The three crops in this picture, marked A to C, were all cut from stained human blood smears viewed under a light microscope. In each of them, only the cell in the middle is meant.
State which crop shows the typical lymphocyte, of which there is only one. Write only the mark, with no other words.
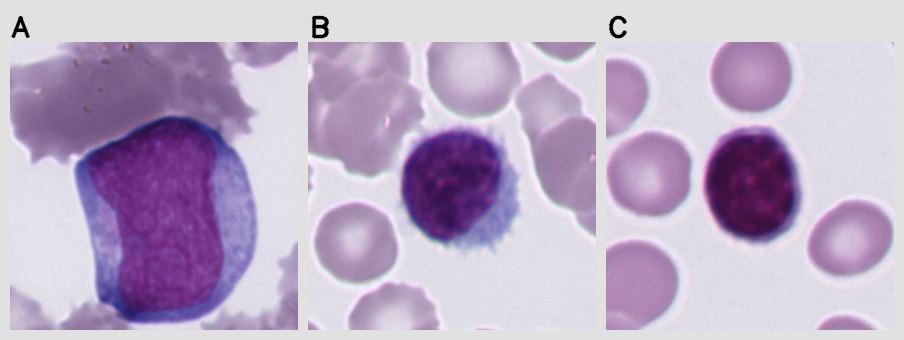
C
